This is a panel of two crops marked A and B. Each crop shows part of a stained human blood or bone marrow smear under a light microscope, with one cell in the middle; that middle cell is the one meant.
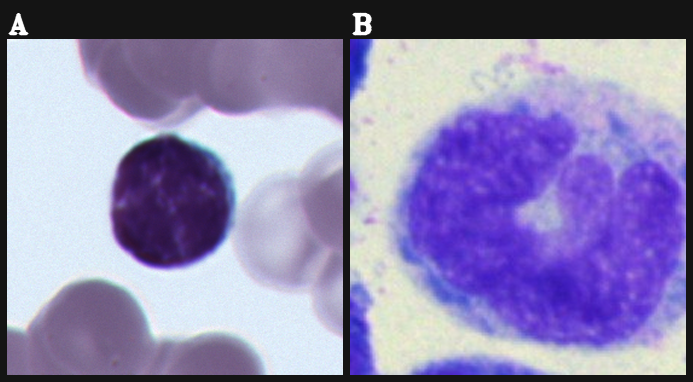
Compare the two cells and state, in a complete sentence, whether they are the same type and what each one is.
No, a monocyte is in crop B, and a lymphocyte is in crop A.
